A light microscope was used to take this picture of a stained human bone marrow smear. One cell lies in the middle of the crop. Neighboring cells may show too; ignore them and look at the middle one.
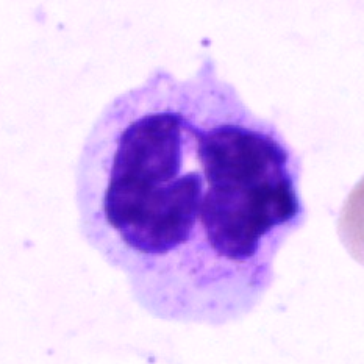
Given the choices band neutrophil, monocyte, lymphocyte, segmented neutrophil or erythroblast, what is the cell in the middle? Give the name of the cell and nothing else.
segmented neutrophil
